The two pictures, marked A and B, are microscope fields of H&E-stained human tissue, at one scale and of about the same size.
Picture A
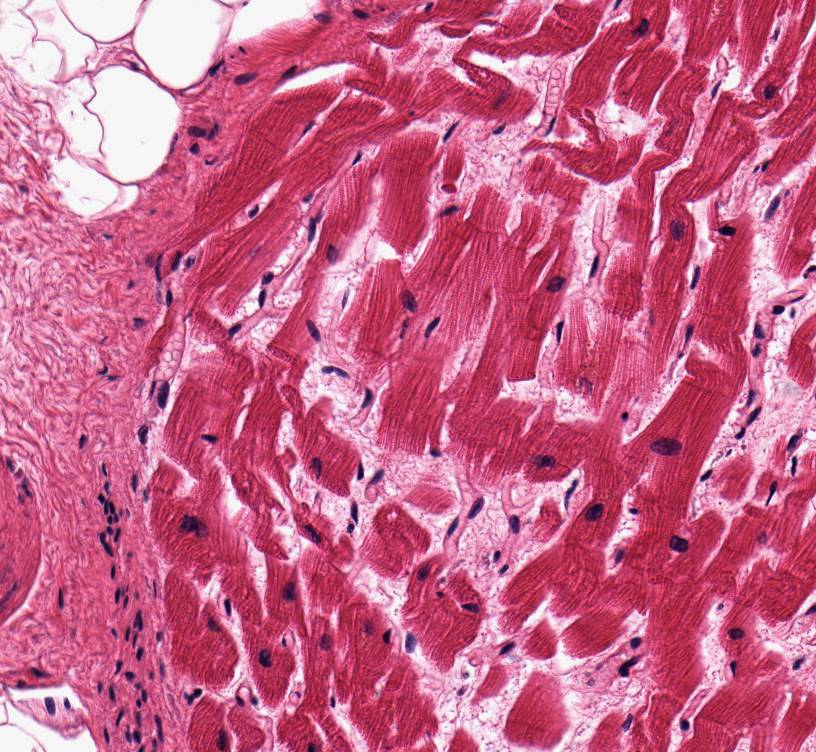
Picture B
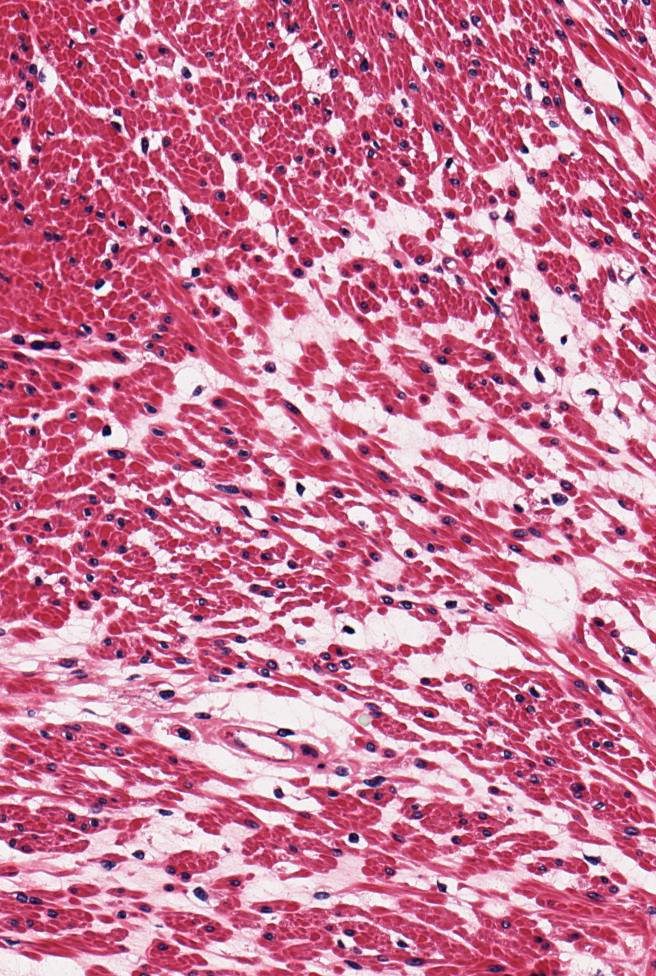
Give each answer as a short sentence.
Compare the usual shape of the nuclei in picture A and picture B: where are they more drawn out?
Longer, more slender nuclei lie in picture A.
